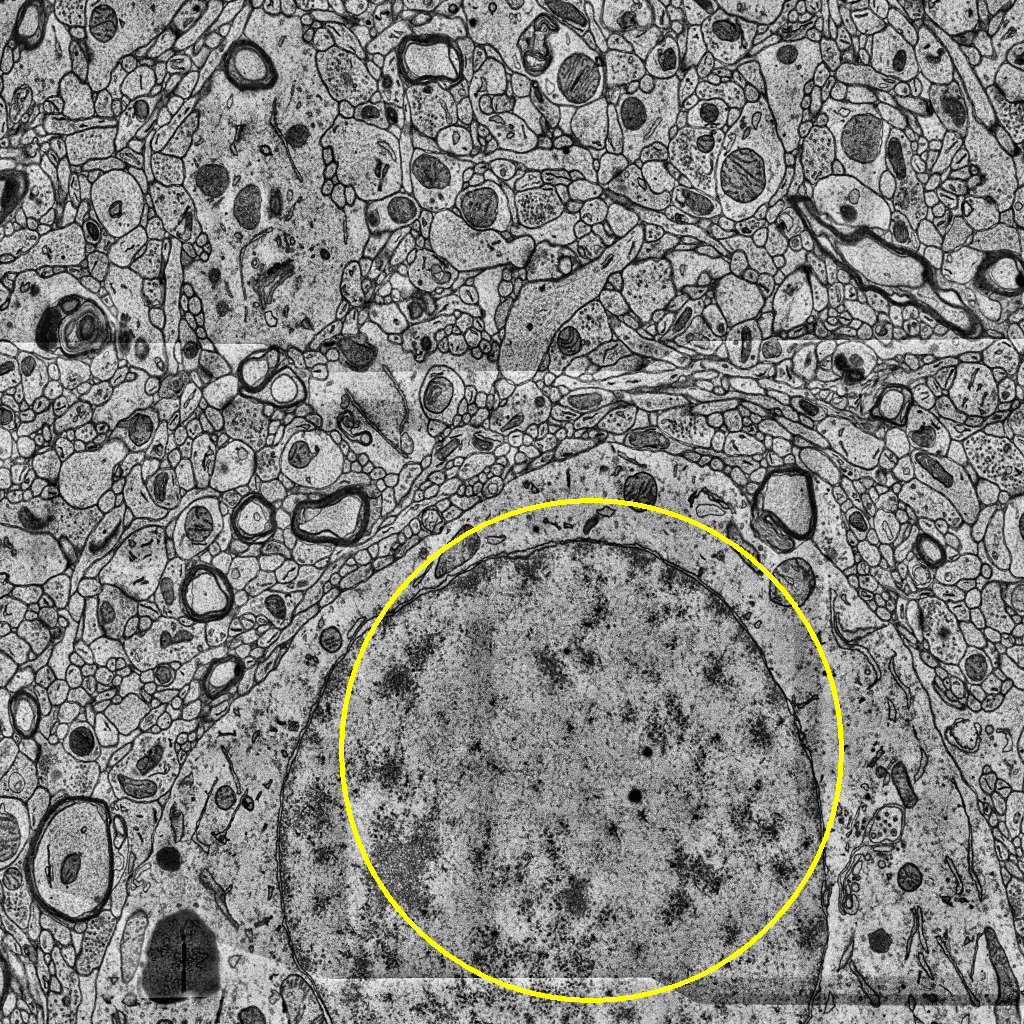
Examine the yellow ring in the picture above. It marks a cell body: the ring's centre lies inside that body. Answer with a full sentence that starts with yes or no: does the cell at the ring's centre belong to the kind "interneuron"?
Yes, the cell whose body contains the ring's centre in the image is of that kind.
